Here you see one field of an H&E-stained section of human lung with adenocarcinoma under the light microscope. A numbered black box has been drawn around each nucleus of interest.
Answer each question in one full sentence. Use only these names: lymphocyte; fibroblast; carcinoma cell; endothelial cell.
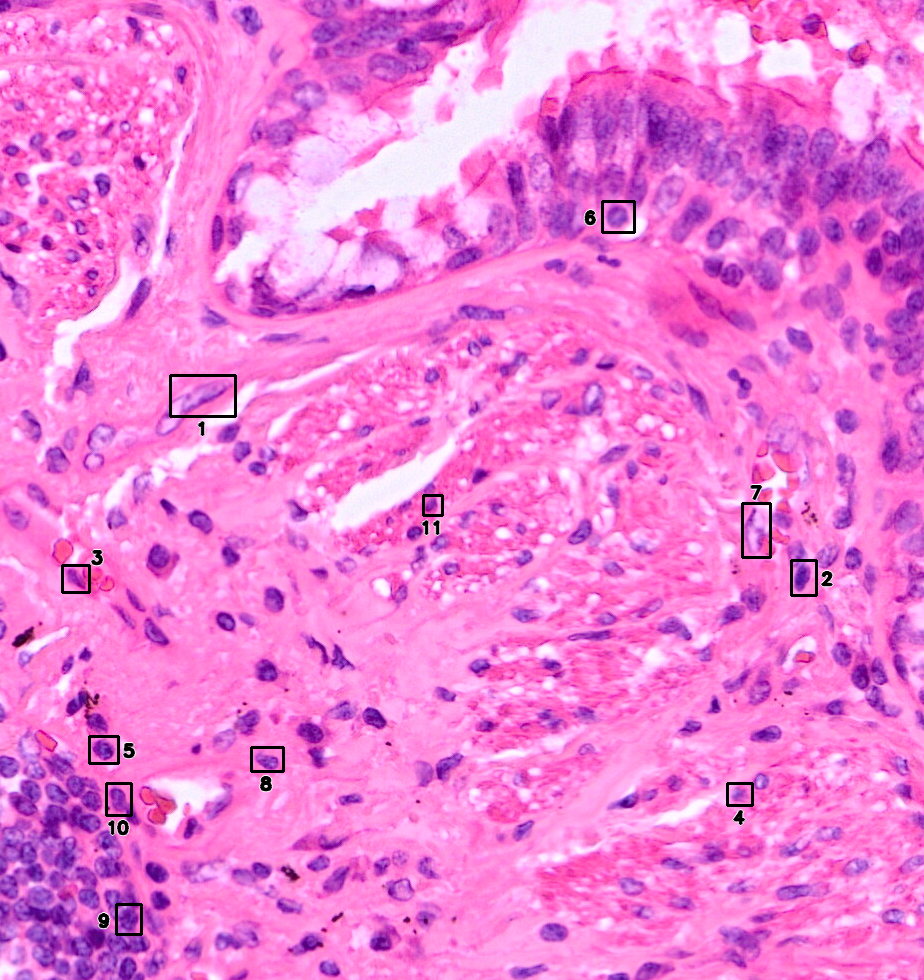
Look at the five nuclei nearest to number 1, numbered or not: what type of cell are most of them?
Most of the five nuclei nearest to number 1 are those of fibroblasts.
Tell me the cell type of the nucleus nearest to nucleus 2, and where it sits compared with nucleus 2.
Lying above nucleus 2, the nearest nucleus is that of an endothelial cell.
